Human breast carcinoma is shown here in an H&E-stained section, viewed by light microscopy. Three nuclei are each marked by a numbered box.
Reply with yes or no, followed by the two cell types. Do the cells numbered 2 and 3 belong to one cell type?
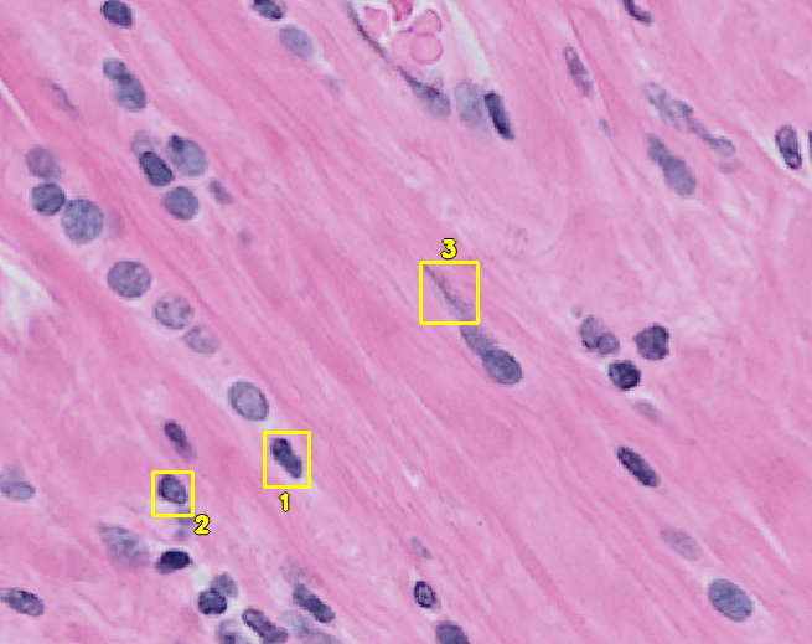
No, cell 2 is a lymphocyte; as for cell 3, that one is a fibroblast.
